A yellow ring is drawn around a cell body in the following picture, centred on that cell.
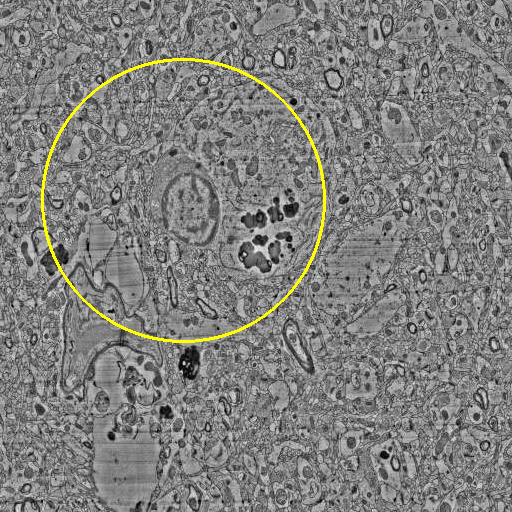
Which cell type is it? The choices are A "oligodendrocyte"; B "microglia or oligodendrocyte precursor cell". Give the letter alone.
A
